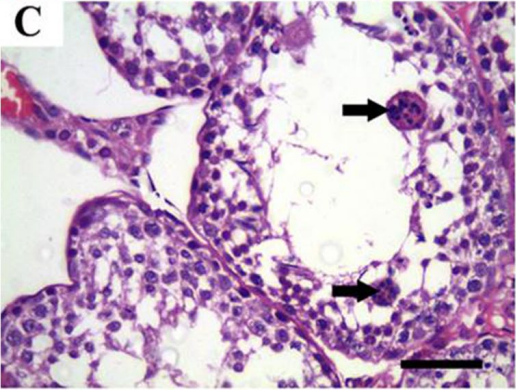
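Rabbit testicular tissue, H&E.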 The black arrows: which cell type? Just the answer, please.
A: Sperm giant cells.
